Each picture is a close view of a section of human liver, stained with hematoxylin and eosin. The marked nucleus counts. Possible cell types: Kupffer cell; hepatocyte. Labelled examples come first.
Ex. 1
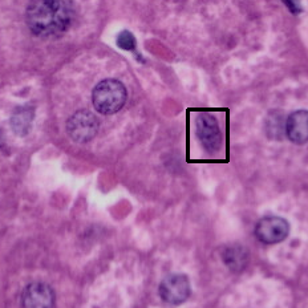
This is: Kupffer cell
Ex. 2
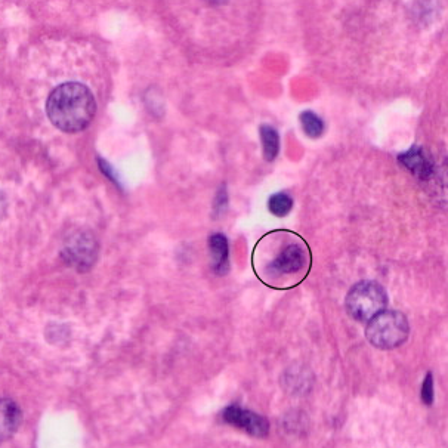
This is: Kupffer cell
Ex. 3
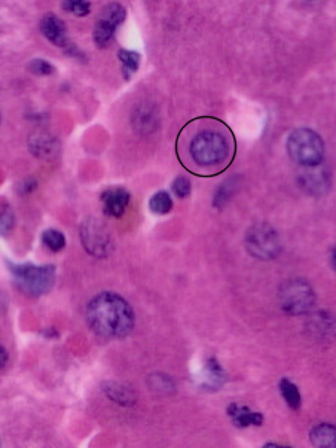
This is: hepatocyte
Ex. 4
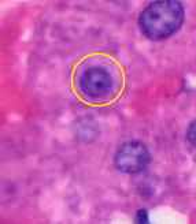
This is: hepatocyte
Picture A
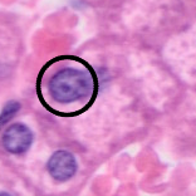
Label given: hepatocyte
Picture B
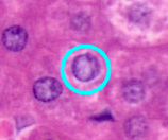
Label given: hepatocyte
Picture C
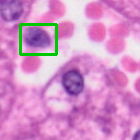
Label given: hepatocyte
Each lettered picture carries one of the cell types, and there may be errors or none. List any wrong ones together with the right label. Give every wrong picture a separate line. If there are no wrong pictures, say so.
C: change hepatocyte to Kupffer cell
